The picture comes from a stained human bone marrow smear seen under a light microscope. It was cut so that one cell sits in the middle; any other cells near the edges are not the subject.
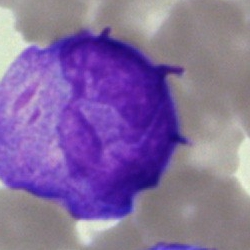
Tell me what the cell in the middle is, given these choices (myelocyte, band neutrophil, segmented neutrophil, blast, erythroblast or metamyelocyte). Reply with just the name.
blast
